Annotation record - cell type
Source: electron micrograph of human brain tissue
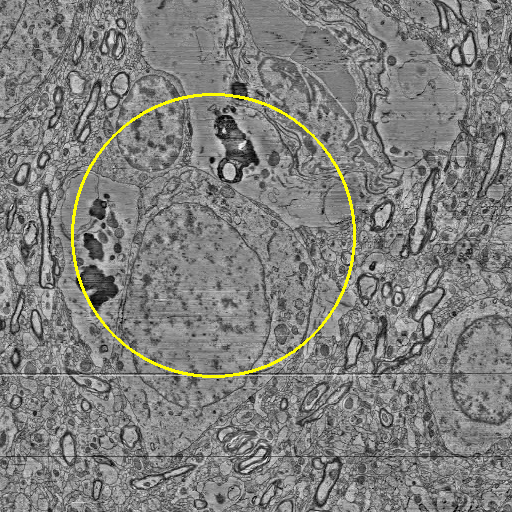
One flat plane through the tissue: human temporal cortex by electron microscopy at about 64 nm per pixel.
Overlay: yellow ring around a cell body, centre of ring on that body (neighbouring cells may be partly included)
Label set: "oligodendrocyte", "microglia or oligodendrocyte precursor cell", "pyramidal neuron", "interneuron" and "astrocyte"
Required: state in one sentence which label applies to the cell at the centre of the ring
This cell should be labelled as a pyramidal neuron.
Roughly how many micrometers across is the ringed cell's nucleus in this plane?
In this plane the nucleus spans approximately 14 by 10 micrometers.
